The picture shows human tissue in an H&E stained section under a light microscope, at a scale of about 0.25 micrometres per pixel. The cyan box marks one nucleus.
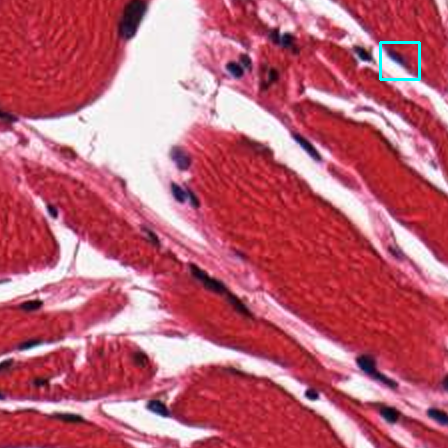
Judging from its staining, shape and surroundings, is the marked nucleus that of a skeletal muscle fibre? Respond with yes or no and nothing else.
yes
